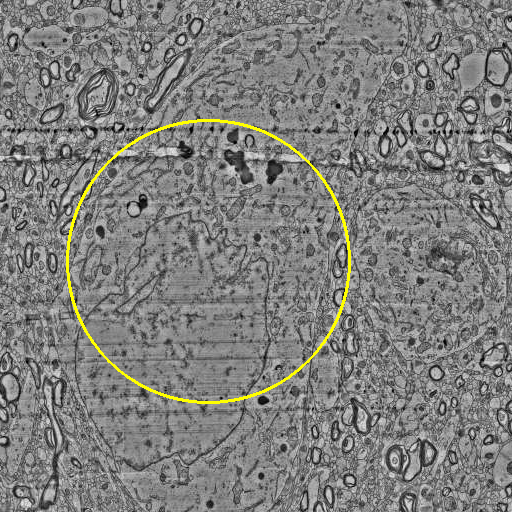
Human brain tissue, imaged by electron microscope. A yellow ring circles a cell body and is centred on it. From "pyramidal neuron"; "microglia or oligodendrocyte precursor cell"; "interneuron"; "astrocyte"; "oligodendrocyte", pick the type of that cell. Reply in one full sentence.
The cell body at the centre of the yellow ring belongs to a pyramidal neuron.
